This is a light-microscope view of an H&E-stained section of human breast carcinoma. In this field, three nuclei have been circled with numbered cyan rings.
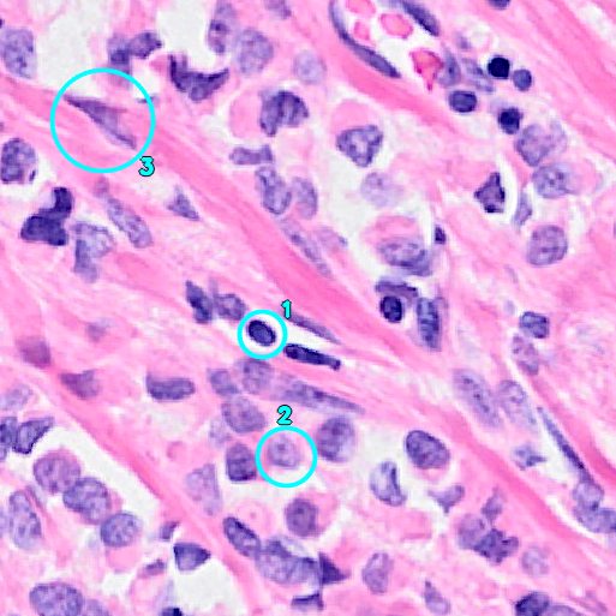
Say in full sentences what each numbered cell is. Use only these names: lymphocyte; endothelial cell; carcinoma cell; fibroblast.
Cell 1 is a lymphocyte. Cell 2 is a carcinoma cell. Cell 3 is a fibroblast.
